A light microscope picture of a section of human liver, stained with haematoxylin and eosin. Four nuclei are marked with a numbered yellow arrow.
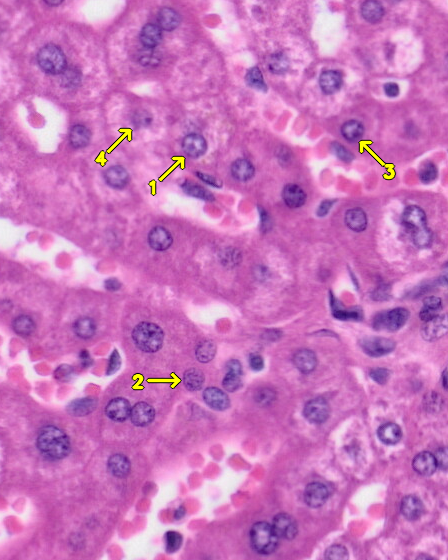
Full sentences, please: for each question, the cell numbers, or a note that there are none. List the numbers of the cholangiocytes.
Only one choice fits: cell 2 is a cholangiocyte, and no other.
